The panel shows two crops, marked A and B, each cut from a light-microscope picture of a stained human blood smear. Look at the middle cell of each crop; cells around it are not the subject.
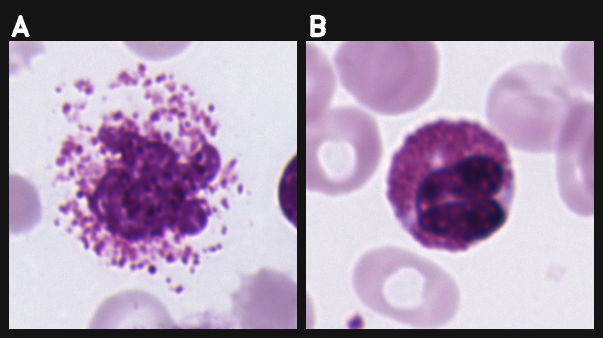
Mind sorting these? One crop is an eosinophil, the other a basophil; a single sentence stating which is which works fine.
For crop A the cell is a basophil, and for crop B it is an eosinophil.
